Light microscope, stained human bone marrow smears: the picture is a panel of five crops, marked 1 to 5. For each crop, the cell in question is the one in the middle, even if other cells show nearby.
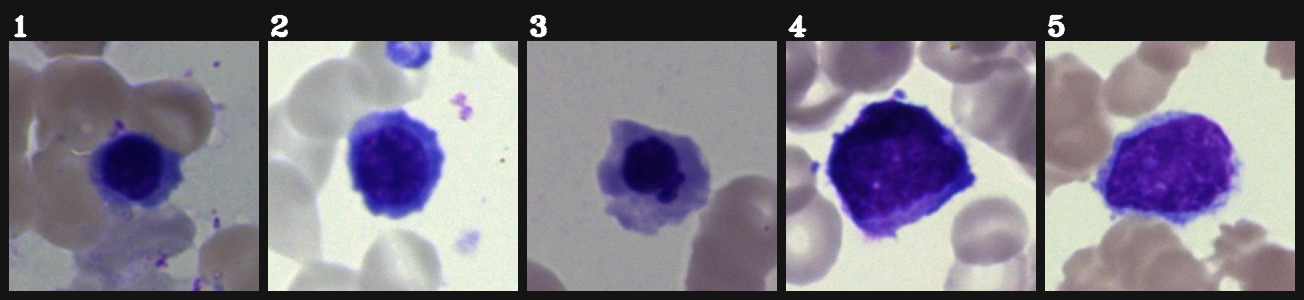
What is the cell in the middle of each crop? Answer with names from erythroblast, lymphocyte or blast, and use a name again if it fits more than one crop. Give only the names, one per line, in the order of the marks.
erythroblast
erythroblast
erythroblast
blast
lymphocyte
